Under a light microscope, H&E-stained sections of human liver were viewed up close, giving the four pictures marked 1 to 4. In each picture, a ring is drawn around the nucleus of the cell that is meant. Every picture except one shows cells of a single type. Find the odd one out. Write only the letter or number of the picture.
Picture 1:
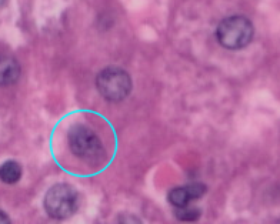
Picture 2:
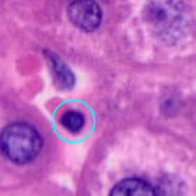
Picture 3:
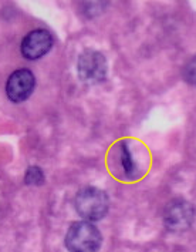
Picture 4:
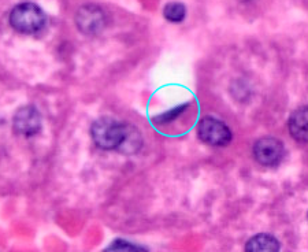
2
